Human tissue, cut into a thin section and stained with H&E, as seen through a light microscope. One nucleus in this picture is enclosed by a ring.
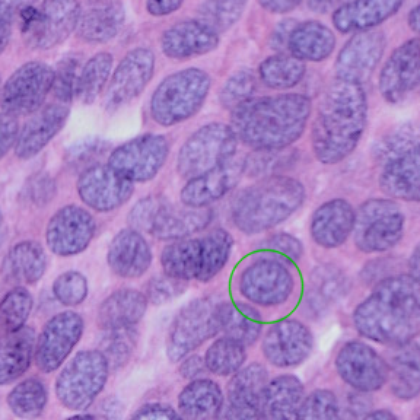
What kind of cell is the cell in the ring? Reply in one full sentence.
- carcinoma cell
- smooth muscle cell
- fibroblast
Histopathologically, the cell in the ring is a carcinoma cell.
